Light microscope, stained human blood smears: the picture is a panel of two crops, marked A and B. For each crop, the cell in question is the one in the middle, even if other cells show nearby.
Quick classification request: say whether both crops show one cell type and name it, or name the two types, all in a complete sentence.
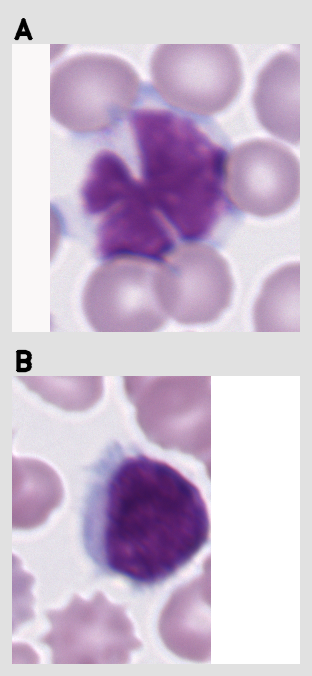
No, crop A and crop B contain, respectively, a typical lymphocyte and a hairy cell.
